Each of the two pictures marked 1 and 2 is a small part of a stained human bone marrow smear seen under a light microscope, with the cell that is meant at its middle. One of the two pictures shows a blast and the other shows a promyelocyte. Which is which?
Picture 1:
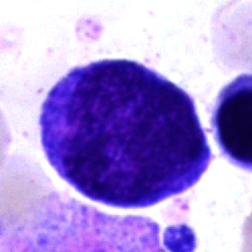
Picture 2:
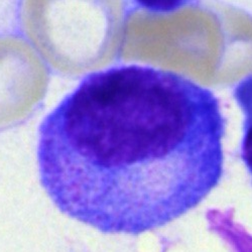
1: blast
2: promyelocyte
